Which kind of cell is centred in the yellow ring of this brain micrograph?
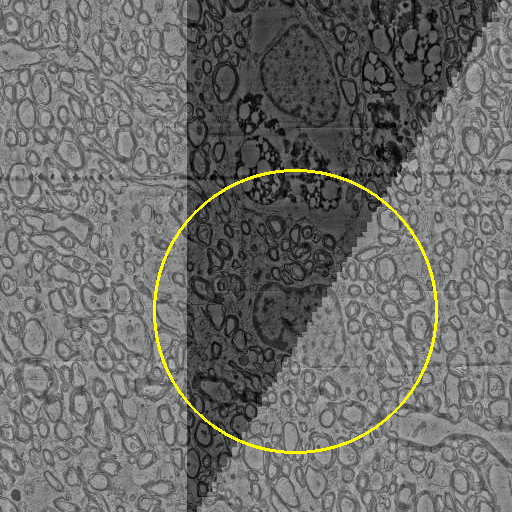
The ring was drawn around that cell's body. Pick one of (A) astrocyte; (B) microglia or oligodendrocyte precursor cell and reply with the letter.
B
